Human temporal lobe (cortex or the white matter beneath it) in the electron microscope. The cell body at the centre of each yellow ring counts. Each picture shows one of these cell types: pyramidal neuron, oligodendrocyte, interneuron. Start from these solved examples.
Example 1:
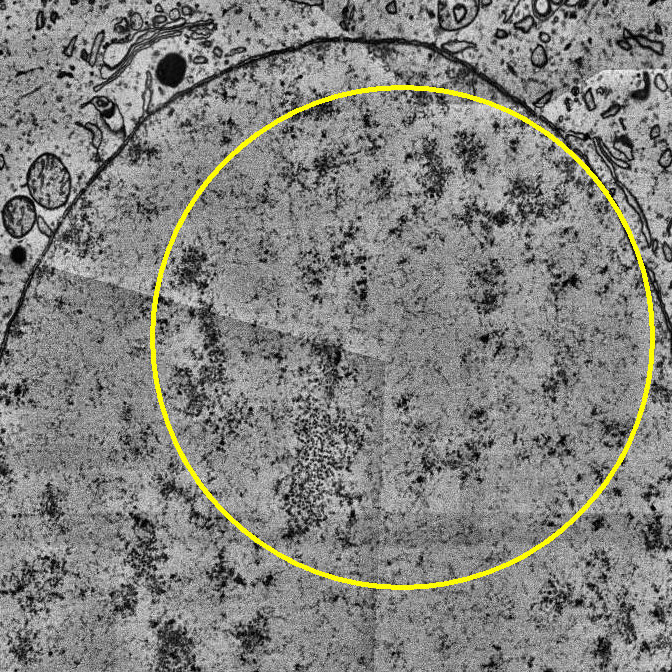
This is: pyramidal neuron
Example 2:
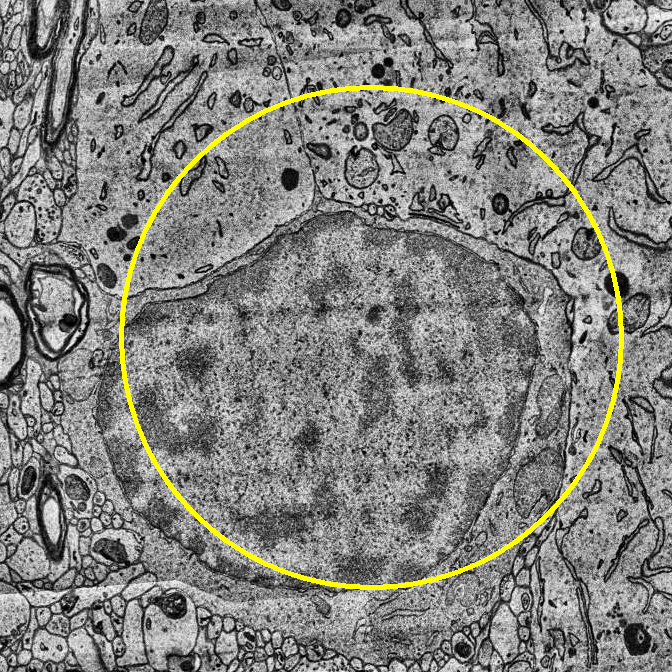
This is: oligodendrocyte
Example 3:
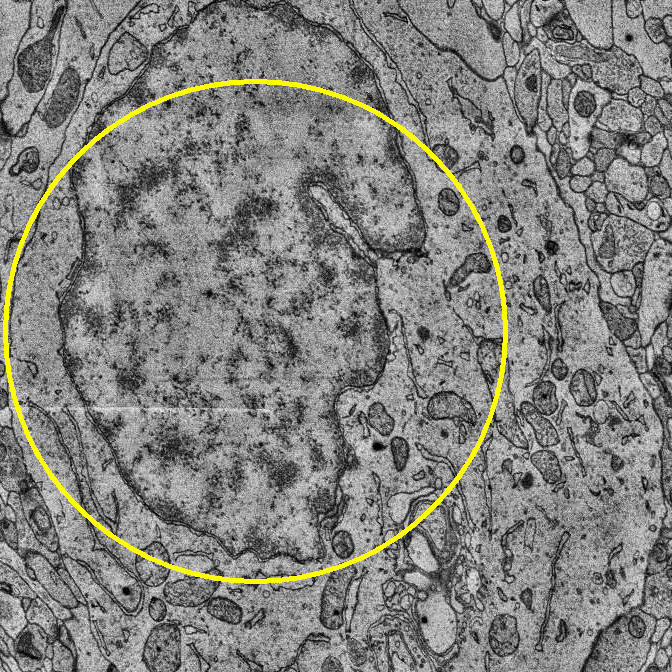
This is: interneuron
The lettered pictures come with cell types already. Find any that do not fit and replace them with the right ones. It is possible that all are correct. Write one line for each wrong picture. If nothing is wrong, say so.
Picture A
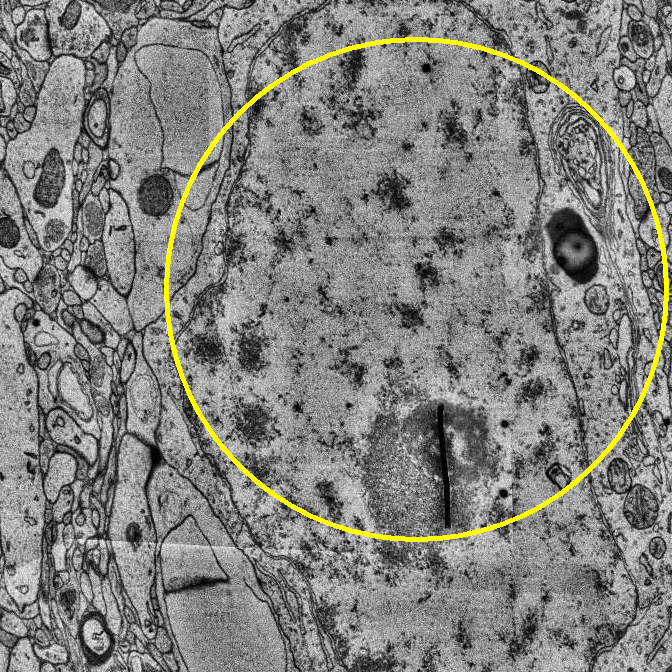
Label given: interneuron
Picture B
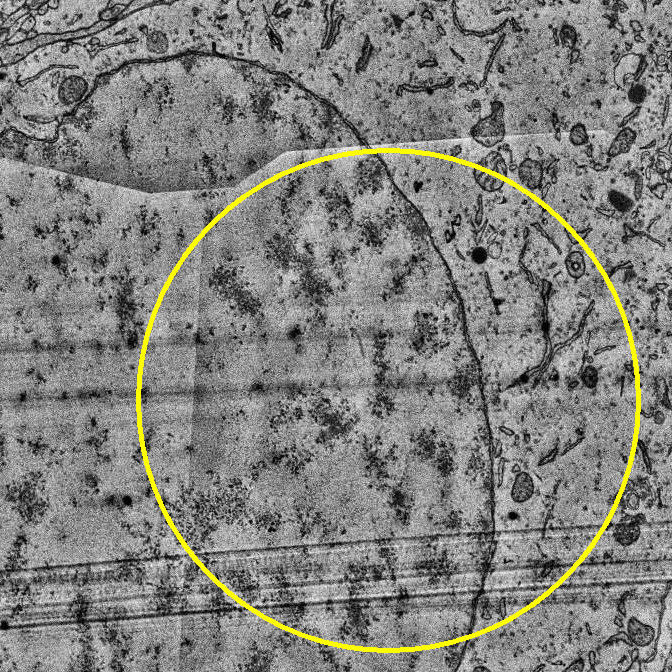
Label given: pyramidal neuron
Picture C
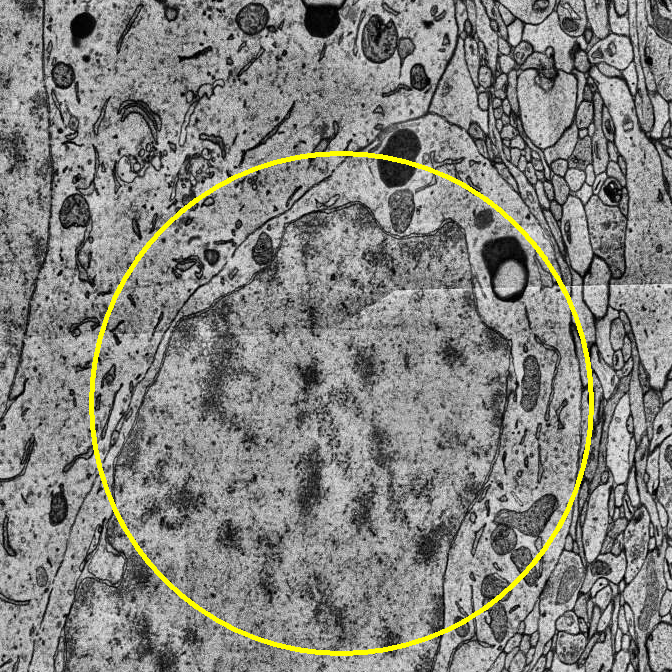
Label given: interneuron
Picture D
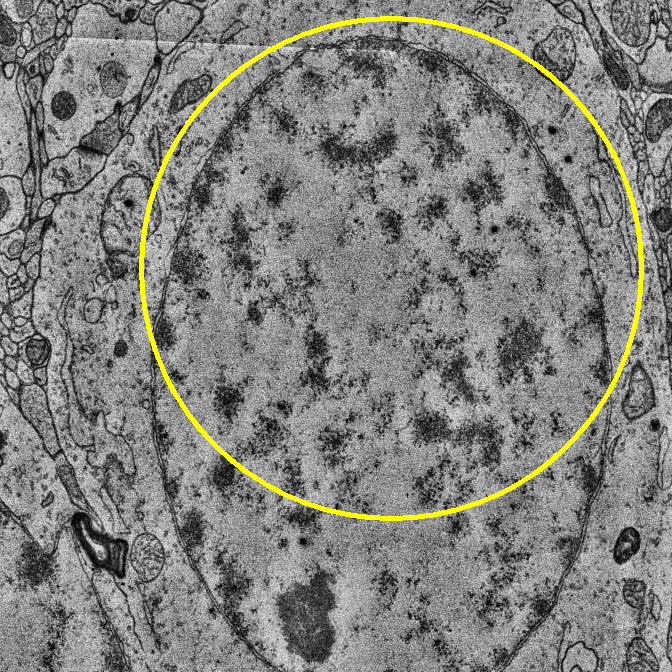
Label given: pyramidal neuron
Every label is right.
